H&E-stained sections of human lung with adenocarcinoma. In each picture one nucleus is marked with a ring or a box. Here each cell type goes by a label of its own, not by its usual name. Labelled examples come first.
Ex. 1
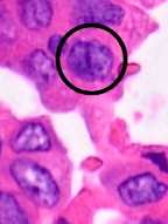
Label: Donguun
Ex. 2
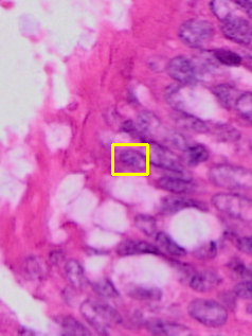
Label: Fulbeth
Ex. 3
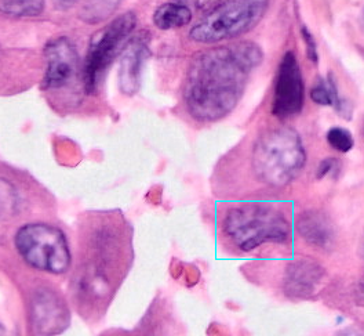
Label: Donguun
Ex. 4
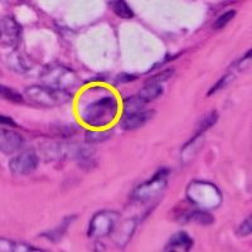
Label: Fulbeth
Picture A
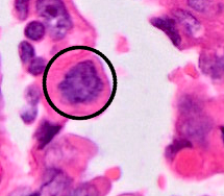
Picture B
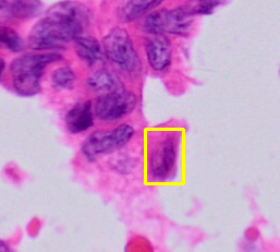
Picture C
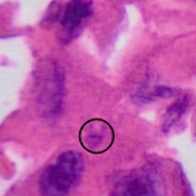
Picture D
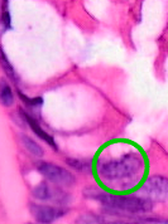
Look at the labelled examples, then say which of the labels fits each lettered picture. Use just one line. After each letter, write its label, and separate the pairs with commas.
A Donguun, B Donguun, C Donguun, D Fulbeth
